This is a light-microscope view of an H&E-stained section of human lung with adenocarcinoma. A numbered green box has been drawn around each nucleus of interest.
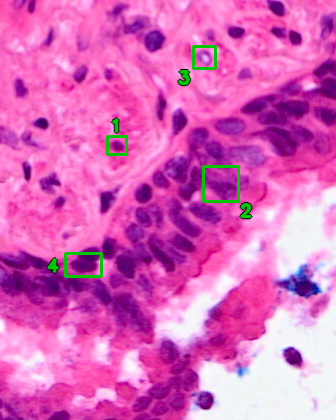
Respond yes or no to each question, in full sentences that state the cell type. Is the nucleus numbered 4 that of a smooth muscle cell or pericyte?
No, the cell at marker 4 is not a smooth muscle cell or pericyte; it is a ciliated epithelial cell.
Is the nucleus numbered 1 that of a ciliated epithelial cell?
No, cell 1 is to be classed as a smooth muscle cell or pericyte, not a ciliated epithelial cell.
